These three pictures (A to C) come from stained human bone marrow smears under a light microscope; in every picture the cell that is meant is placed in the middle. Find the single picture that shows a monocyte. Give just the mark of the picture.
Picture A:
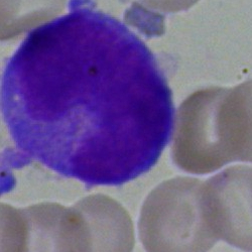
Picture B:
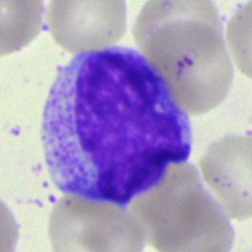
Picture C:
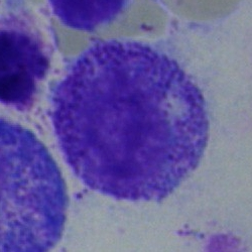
A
